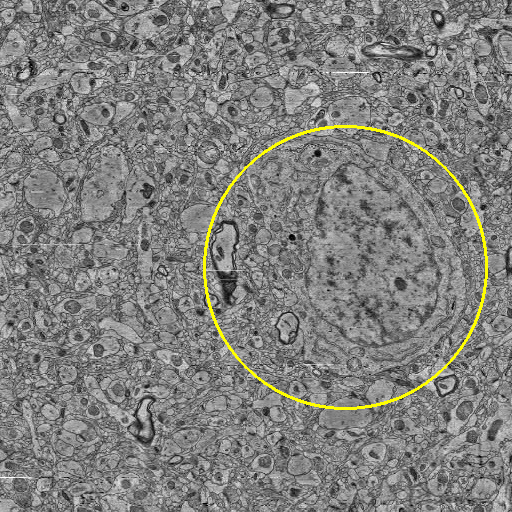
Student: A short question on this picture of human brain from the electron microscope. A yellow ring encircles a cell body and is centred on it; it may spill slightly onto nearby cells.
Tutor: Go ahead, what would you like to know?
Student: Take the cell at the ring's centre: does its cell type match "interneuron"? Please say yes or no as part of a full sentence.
Yes, in the picture, the cell at the ring's centre has that cell type.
